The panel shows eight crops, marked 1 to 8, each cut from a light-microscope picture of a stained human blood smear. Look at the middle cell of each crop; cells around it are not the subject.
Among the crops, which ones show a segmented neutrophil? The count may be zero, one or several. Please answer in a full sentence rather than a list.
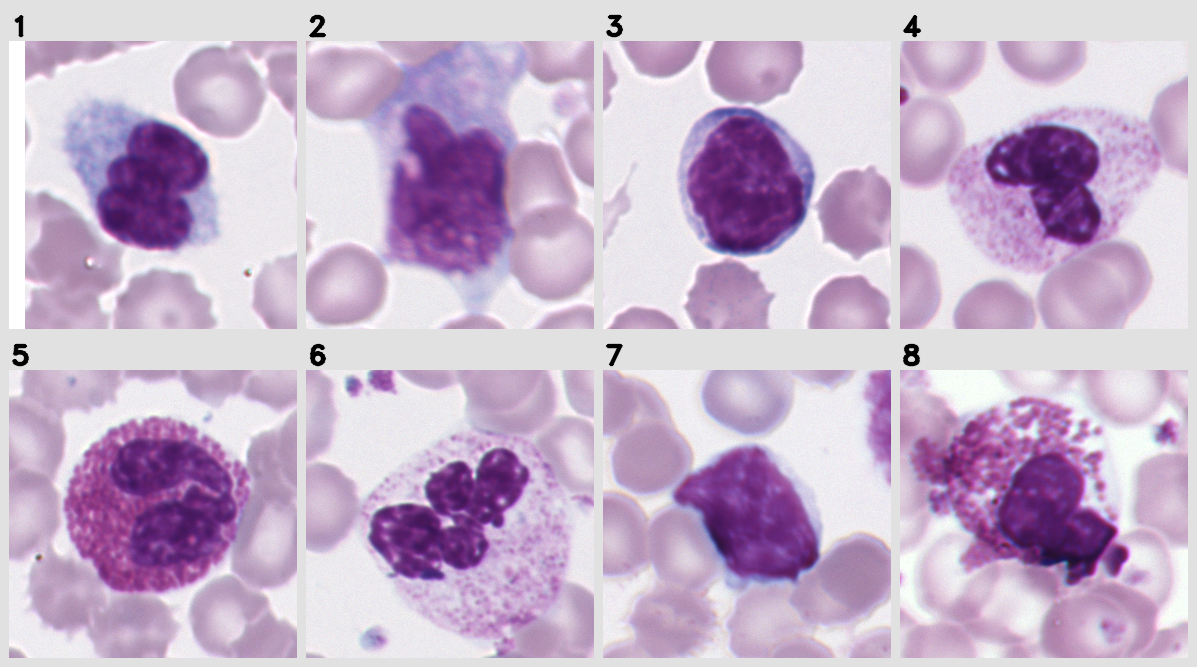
Crops 4 and 6 present segmented neutrophils as their central cells.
